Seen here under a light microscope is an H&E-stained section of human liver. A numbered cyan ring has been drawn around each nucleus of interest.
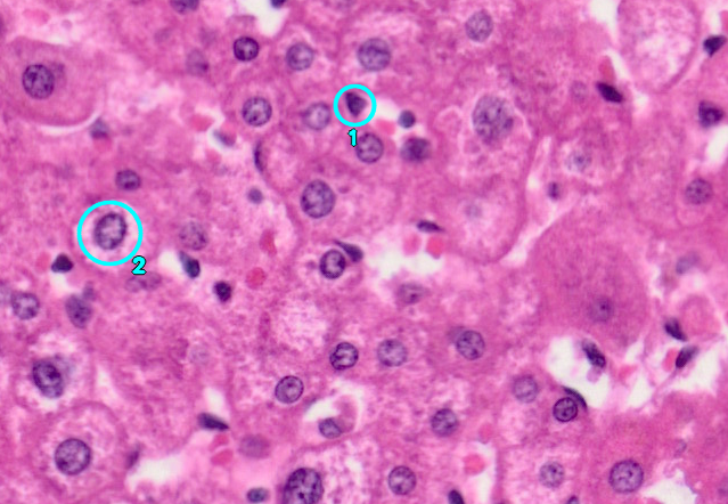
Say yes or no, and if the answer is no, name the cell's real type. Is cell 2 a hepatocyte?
Yes.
